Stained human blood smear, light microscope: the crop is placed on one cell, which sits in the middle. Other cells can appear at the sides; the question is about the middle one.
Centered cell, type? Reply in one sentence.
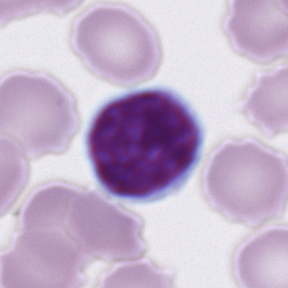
The cell that lies at the centre of the crop is a typical lymphocyte.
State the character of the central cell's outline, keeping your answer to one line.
Smooth edges only, with no spikes, blebs, or other projections.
